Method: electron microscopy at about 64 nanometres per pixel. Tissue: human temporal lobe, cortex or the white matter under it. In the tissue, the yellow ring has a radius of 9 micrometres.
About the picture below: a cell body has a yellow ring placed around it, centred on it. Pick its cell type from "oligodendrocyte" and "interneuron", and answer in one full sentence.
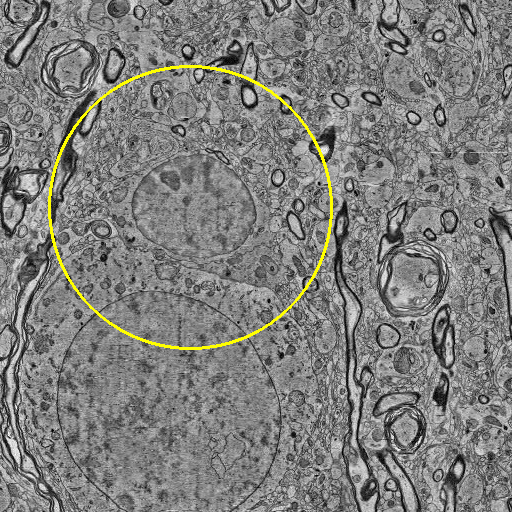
In the picture, an oligodendrocyte is the cell sitting at the centre of the yellow ring.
